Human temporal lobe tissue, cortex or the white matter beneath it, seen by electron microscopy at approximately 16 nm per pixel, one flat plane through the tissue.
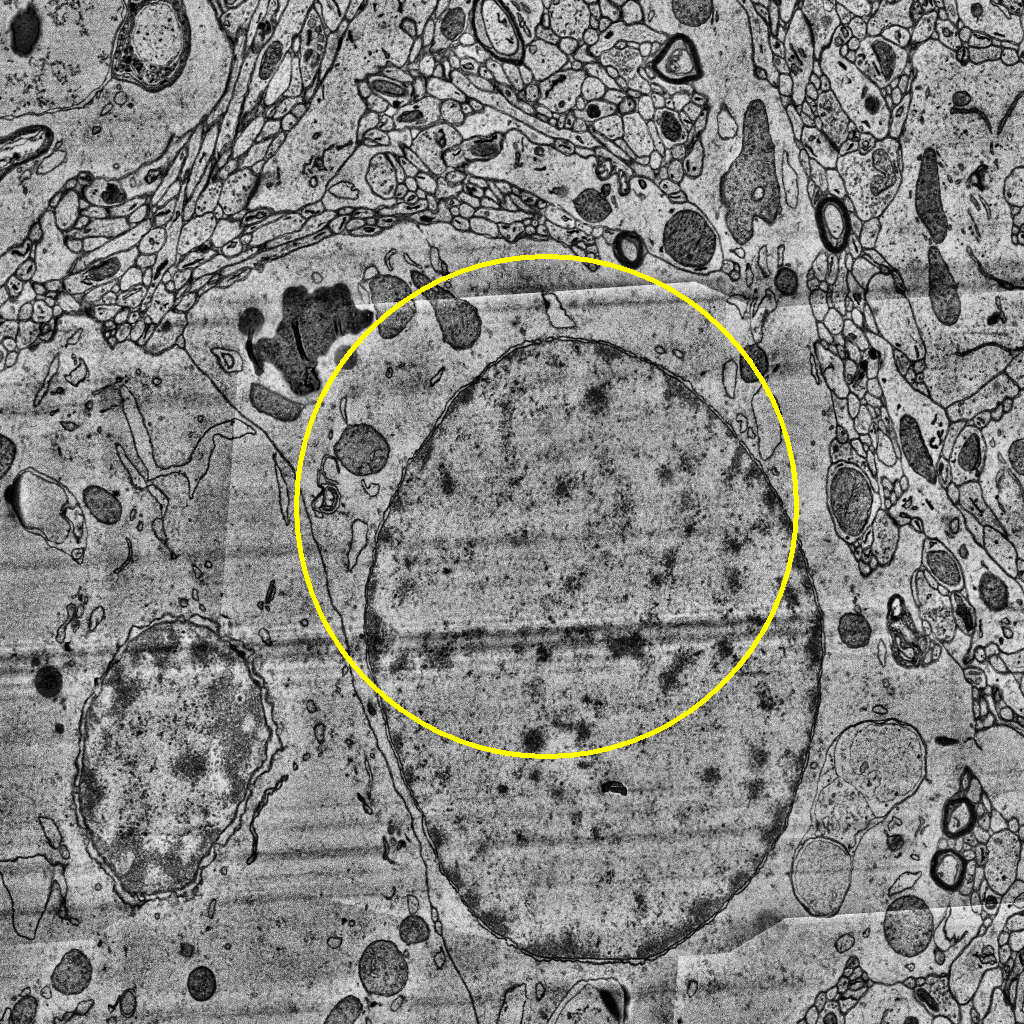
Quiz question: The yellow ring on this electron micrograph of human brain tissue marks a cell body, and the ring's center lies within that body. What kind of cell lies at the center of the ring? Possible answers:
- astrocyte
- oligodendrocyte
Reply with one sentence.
The ring's center lies on an astrocyte.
